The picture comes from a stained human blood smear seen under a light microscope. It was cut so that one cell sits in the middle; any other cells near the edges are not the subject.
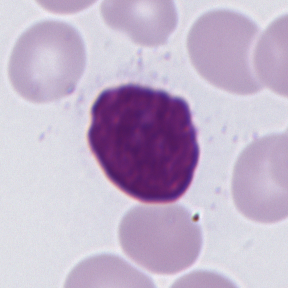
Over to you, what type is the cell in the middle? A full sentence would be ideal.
In short, the cell at the center is a smudge cell.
